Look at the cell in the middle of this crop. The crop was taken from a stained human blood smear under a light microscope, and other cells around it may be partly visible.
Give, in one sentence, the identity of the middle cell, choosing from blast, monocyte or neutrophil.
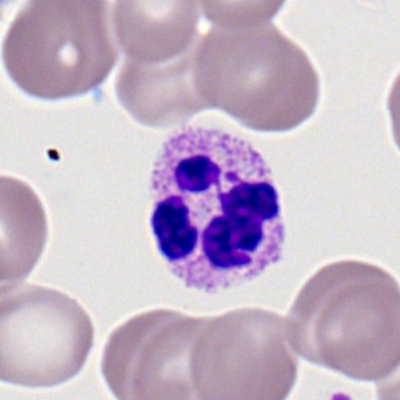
The cell of interest, in the center, is a neutrophil.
